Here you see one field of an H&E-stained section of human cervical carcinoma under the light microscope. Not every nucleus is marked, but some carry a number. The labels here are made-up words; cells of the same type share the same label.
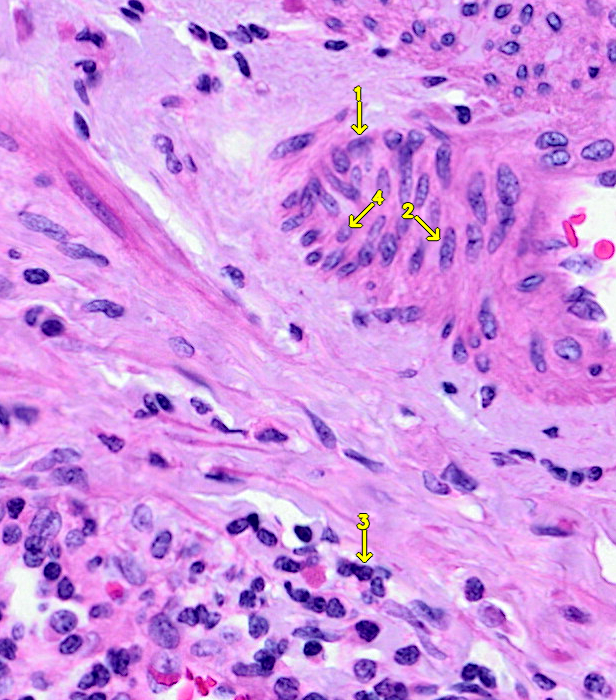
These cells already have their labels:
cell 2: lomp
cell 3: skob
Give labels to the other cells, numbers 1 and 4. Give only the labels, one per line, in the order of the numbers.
lomp
lomp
